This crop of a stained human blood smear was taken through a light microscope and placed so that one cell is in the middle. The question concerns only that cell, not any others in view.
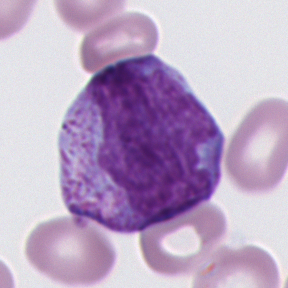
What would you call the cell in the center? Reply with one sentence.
Answering briefly, the cell in the middle is an atypical promyelocyte.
